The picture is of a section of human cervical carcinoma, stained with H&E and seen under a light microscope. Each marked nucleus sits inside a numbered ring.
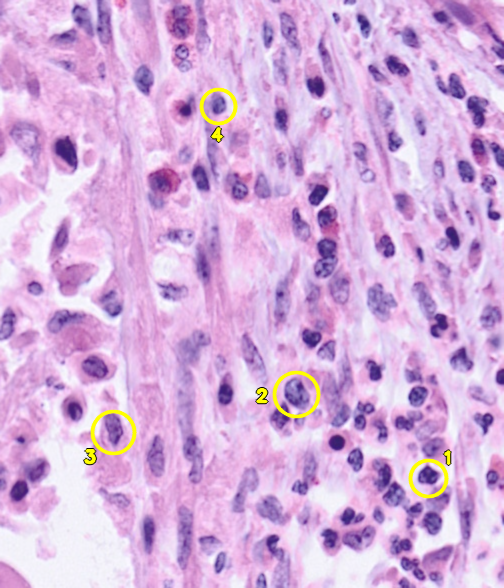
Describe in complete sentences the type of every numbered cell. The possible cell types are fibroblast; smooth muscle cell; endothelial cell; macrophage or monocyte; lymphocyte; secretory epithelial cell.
Cells 1, 2 and 4 are lymphocytes. Cell 3 is a macrophage or monocyte.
